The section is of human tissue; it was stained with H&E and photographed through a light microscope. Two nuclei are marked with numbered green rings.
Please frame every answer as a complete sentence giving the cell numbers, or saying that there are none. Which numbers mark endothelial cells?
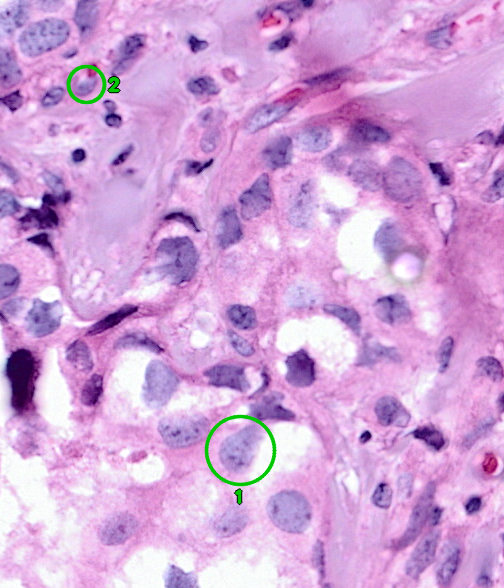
Of the cells carrying numbers, just cell 2 is an endothelial cell.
